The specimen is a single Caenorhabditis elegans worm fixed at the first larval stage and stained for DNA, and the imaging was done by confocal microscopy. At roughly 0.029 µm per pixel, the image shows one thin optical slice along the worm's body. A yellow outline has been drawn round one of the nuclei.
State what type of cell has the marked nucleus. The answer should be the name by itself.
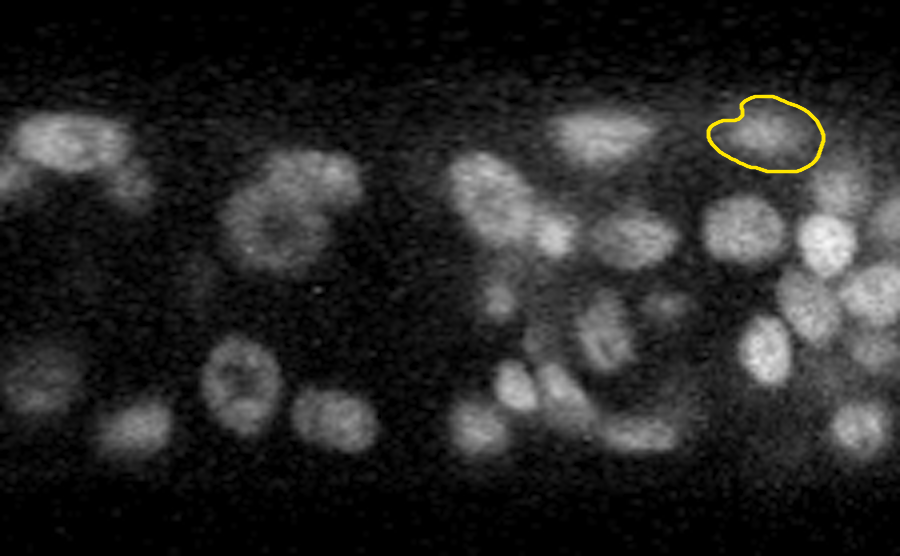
neuron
